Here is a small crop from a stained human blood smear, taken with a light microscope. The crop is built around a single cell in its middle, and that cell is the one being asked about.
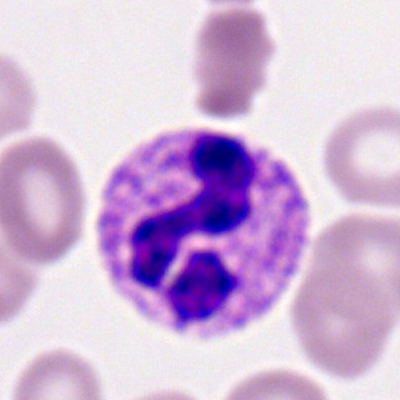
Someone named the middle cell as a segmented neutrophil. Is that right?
yes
